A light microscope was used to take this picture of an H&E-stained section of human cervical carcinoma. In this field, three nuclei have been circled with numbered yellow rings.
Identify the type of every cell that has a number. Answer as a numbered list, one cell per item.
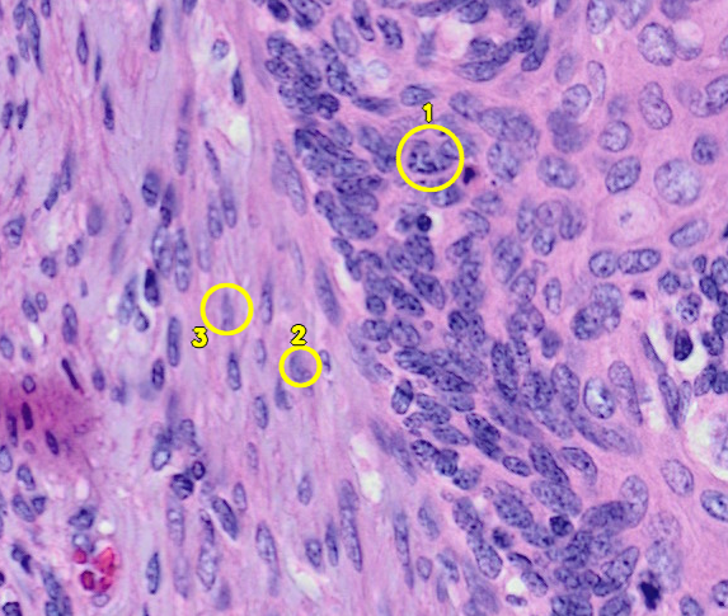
1. squamous carcinoma cell
2. smooth muscle cell
3. smooth muscle cell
